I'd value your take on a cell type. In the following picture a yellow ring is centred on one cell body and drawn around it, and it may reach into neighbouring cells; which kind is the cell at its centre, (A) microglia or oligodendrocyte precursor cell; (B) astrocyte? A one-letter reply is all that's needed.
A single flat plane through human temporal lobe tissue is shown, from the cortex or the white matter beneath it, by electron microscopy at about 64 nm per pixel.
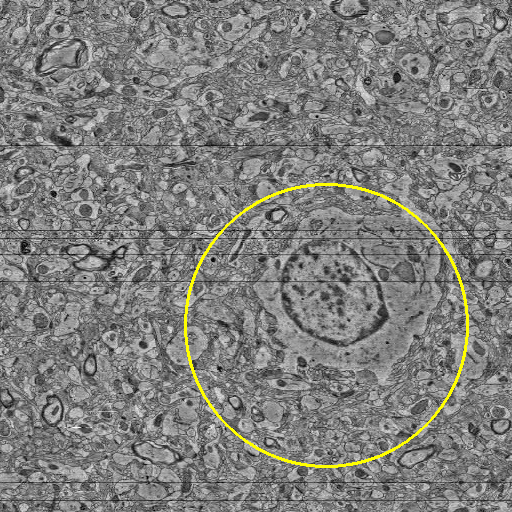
B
